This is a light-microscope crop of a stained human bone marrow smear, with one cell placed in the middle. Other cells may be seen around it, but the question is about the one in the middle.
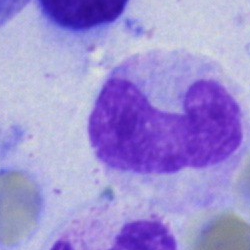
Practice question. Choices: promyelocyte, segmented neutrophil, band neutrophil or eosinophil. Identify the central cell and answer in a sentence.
This particular crop is centered on a band neutrophil.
